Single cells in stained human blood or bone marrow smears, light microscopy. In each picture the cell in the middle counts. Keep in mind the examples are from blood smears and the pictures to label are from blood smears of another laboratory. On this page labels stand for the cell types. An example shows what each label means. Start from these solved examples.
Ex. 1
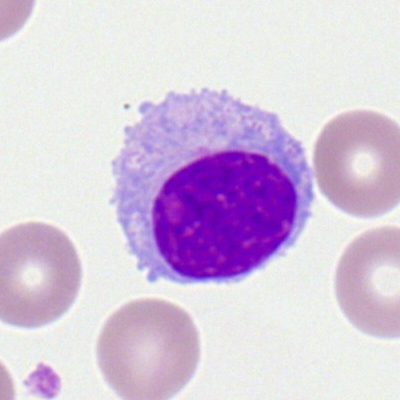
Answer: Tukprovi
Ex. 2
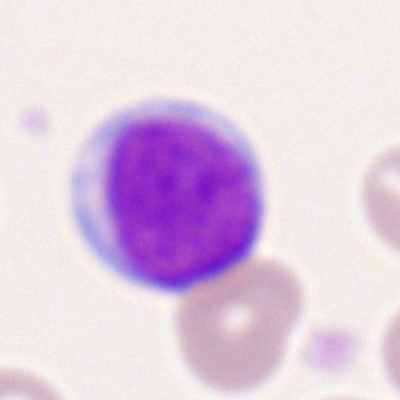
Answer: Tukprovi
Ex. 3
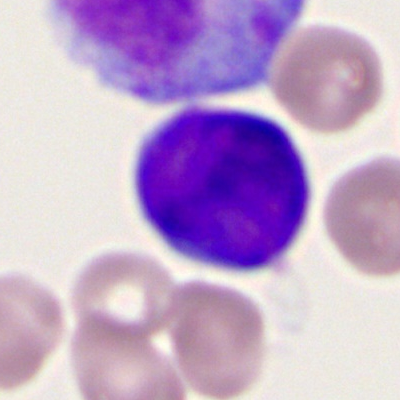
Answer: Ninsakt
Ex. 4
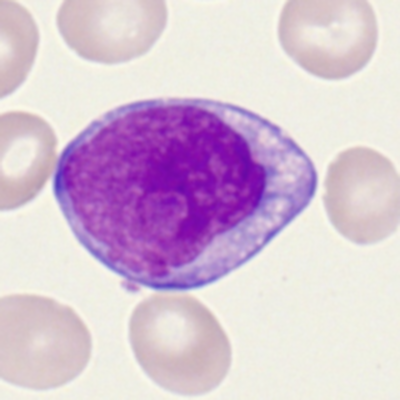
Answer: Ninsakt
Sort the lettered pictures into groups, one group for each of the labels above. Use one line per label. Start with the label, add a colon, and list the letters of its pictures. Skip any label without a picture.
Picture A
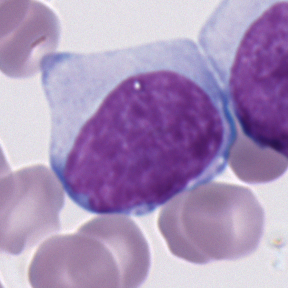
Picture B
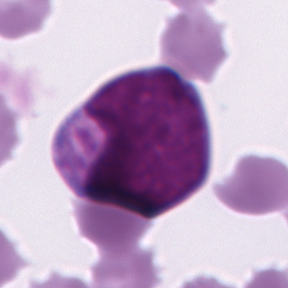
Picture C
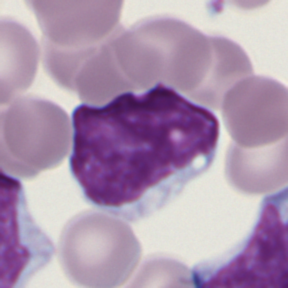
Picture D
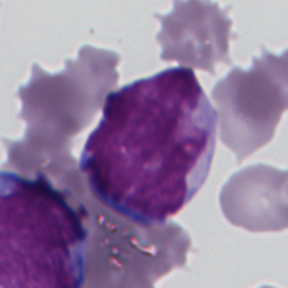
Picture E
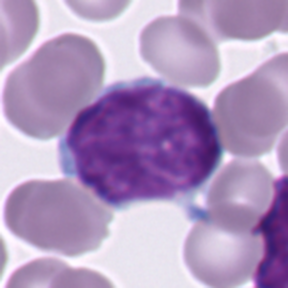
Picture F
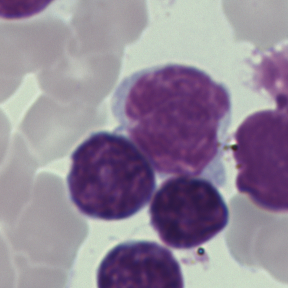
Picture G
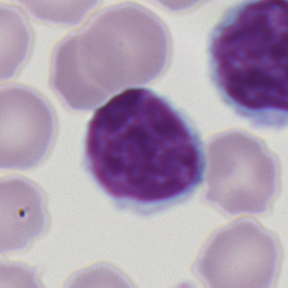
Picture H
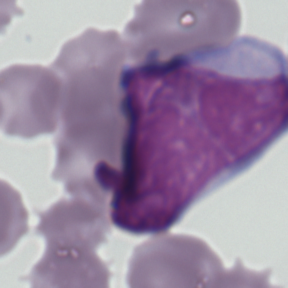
Tukprovi: C, E, G
Ninsakt: A, B, D, F, H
